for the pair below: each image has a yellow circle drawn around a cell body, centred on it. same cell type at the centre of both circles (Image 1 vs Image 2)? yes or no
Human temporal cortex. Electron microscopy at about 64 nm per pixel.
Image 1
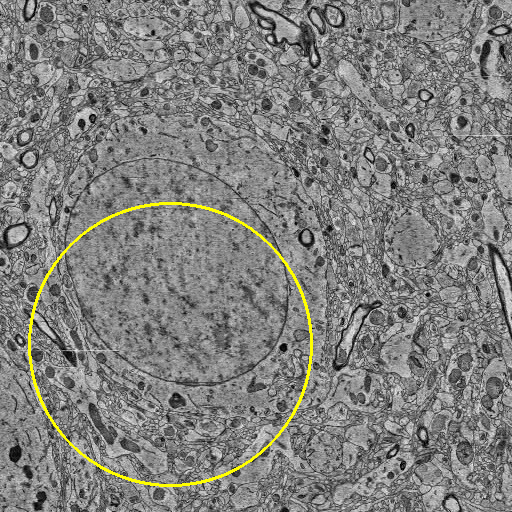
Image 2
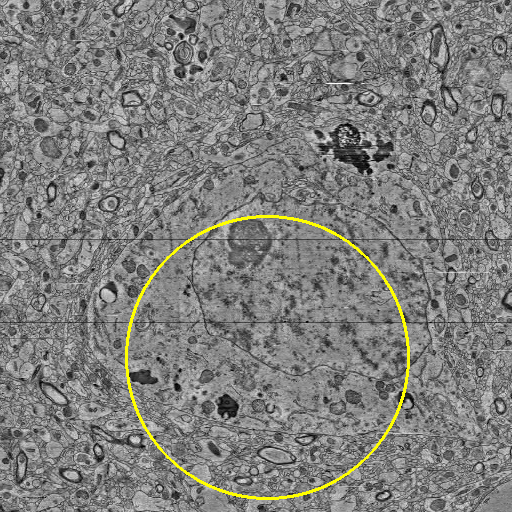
yes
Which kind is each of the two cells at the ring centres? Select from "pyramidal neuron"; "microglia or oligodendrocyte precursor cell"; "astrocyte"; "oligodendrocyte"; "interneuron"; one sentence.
Both cells are the same kind, each one being a pyramidal neuron.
